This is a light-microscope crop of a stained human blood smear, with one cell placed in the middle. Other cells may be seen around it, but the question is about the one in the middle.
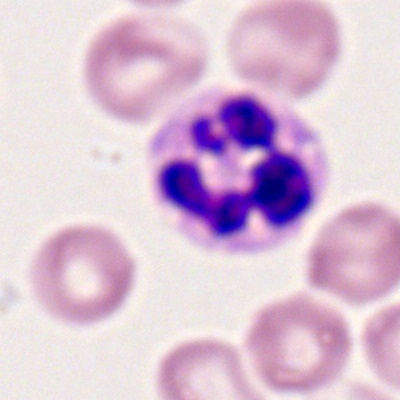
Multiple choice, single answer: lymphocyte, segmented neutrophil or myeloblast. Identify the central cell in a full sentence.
Where the crop is centred, there is a segmented neutrophil.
